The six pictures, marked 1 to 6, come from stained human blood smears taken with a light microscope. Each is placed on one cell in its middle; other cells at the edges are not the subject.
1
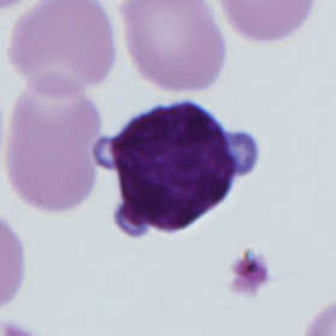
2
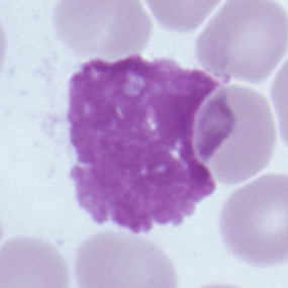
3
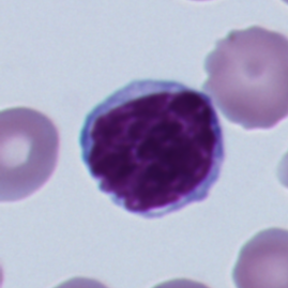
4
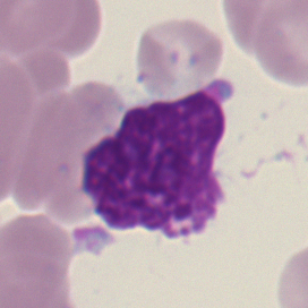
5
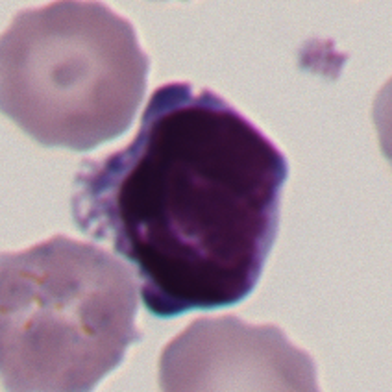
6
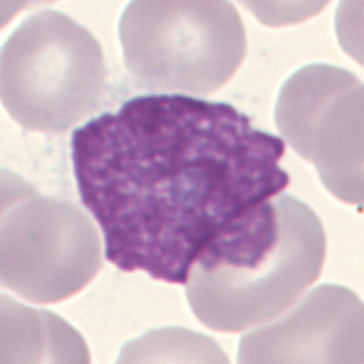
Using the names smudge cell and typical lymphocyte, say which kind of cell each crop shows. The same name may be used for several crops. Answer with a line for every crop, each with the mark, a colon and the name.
1: typical lymphocyte
2: smudge cell
3: typical lymphocyte
4: smudge cell
5: typical lymphocyte
6: smudge cell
